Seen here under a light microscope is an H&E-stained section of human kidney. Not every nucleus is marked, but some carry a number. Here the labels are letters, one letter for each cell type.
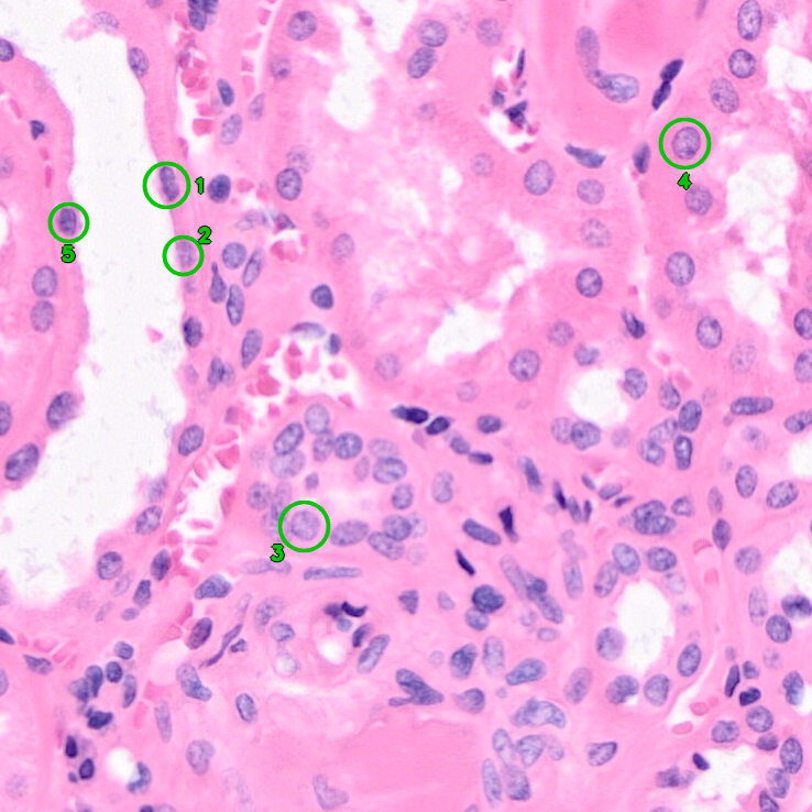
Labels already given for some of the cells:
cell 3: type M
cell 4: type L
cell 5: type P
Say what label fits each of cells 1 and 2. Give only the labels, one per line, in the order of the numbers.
type P
type P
